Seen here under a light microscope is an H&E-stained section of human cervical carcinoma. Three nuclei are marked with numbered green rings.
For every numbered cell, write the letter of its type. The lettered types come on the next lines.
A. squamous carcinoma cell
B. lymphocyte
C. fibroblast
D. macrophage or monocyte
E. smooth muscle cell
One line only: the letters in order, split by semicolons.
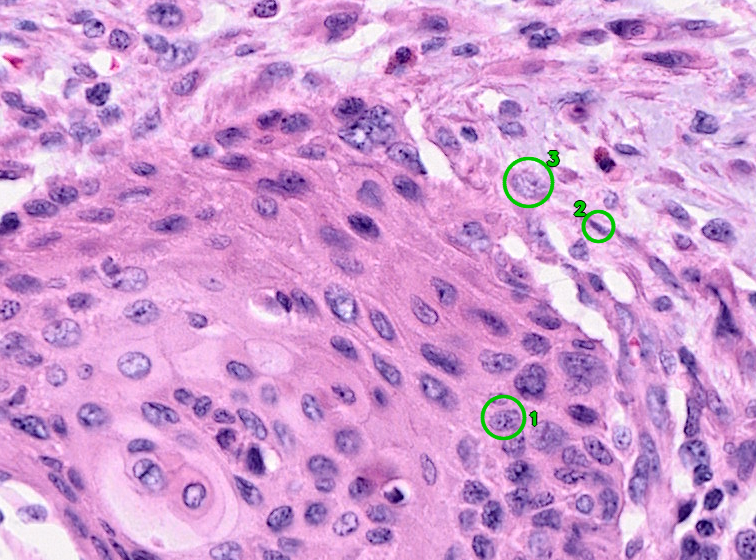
A; C; C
